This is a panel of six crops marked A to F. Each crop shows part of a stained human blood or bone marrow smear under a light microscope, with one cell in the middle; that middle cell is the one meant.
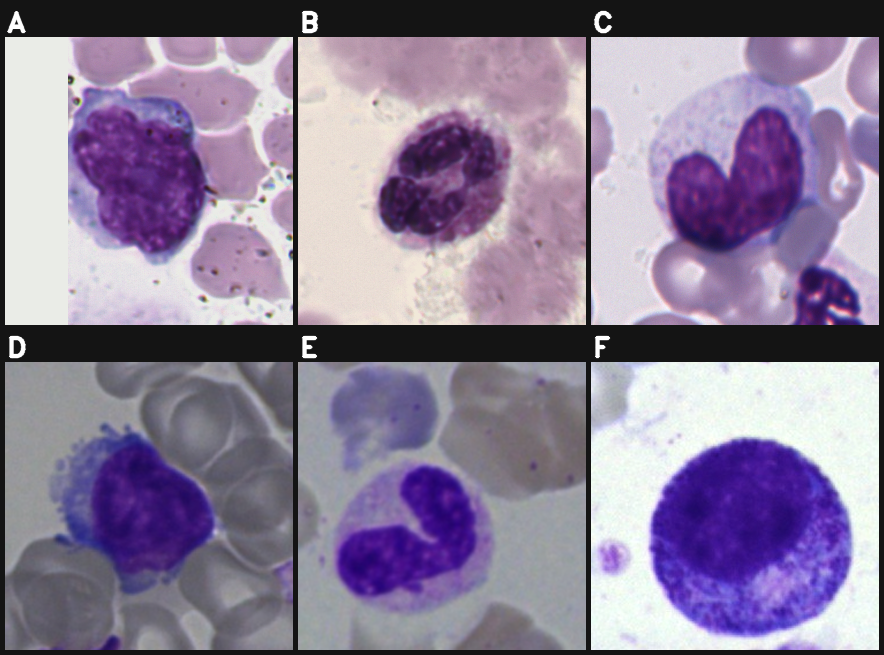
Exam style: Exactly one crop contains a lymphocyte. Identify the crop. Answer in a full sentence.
The crop that has a lymphocyte in the middle is crop D.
